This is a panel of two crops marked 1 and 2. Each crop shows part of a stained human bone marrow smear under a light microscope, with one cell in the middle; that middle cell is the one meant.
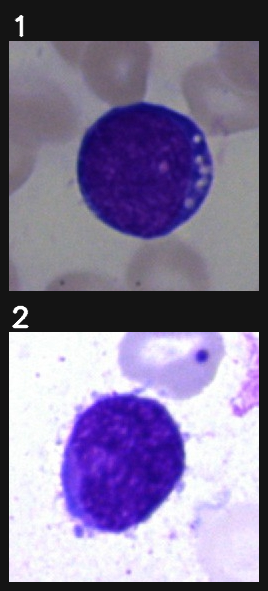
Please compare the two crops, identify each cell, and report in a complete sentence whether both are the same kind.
Yes, both crops show blasts, the one and the other.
